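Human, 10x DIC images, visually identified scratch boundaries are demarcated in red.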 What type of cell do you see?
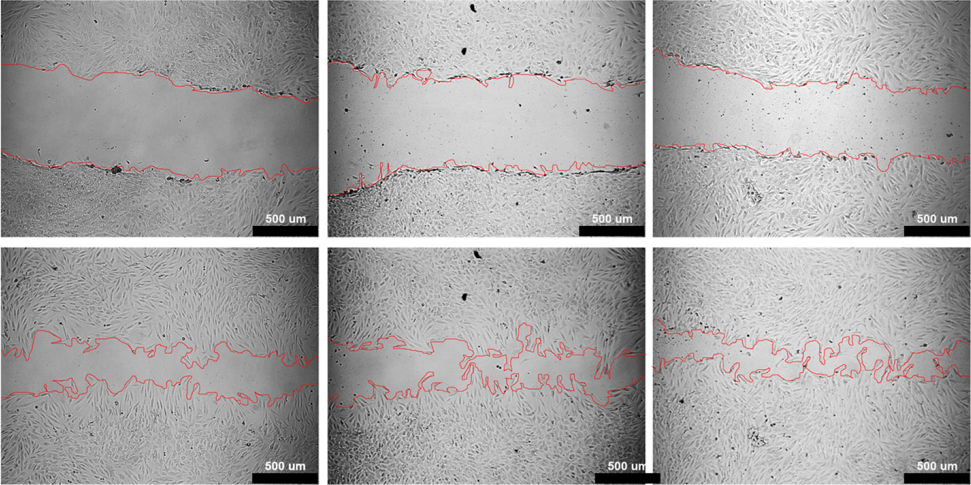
Fibroblasts.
